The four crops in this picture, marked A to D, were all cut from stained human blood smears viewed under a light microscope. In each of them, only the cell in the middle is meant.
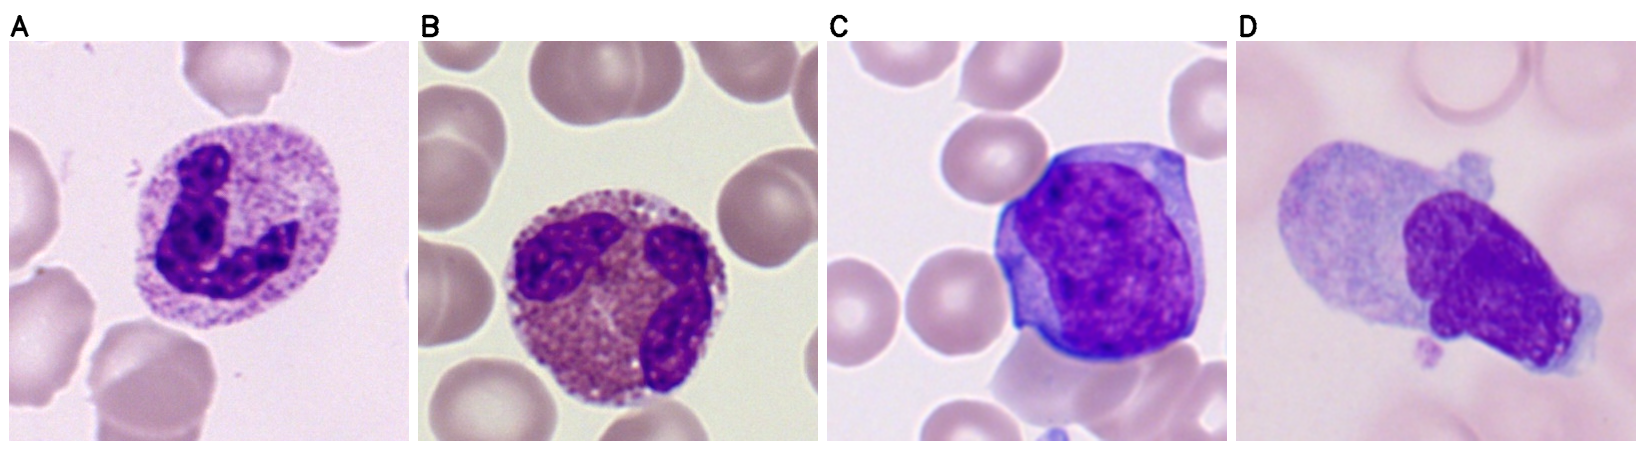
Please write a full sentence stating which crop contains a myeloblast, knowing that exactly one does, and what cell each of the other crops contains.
Crop C features a myeloblast, while crop A is a segmented neutrophil, crop B is an eosinophil and crop D is a monocyte.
